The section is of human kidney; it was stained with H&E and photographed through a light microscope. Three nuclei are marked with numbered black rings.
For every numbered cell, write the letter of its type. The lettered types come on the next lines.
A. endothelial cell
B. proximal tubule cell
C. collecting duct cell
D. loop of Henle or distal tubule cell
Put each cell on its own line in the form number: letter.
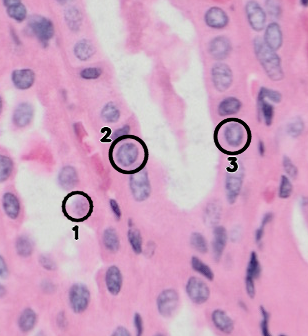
1: D
2: C
3: C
